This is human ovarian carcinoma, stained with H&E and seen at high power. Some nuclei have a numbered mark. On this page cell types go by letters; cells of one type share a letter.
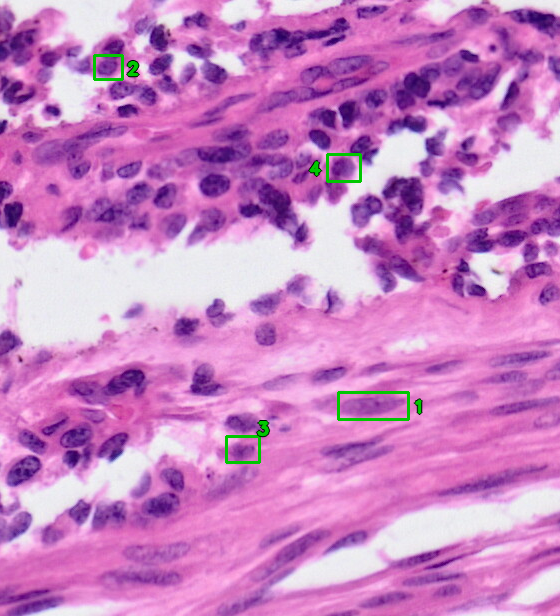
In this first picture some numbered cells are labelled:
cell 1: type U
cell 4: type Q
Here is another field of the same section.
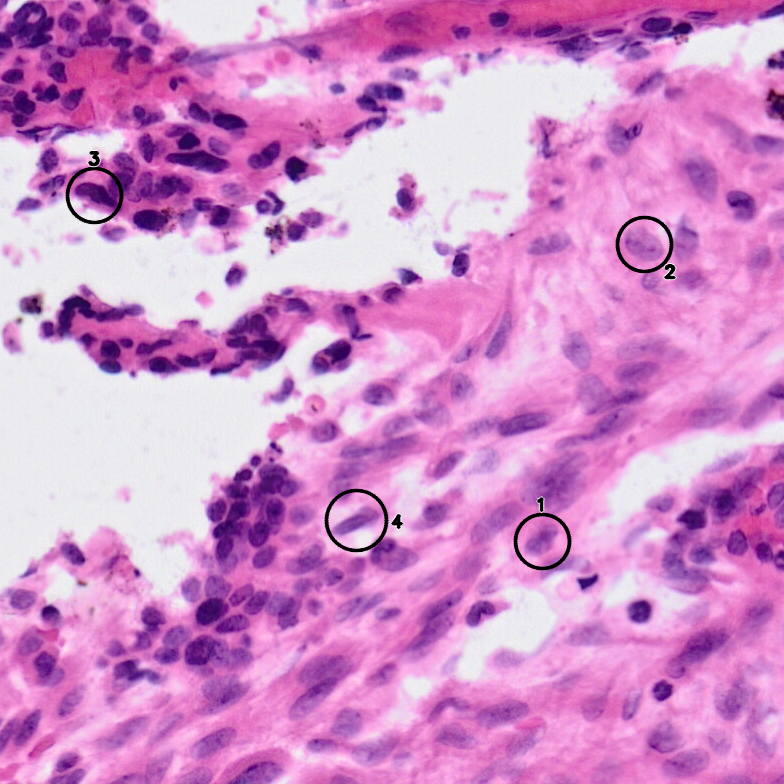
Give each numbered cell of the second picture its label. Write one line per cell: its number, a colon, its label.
1: type U
2: type U
3: type Q
4: type U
